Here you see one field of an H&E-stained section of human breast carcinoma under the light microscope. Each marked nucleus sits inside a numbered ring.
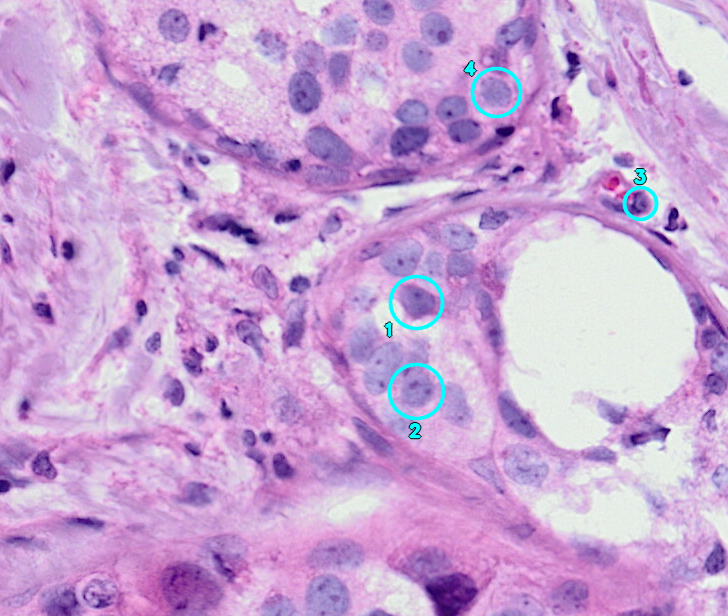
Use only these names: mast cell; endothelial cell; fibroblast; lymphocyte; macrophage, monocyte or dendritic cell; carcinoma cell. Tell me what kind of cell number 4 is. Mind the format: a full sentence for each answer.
The numbered cell 4 in this field is a carcinoma cell.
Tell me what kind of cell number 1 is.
The cell identified by number 1 is a carcinoma cell.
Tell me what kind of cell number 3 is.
The cell indicated by marker 3 is an endothelial cell in this section.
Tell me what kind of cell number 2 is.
In this section, the cell numbered 2 is a carcinoma cell.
